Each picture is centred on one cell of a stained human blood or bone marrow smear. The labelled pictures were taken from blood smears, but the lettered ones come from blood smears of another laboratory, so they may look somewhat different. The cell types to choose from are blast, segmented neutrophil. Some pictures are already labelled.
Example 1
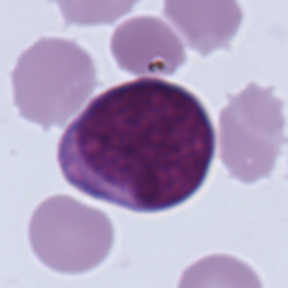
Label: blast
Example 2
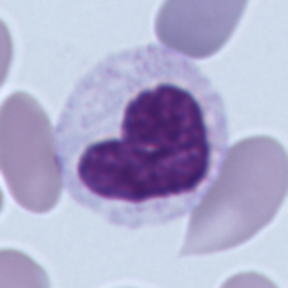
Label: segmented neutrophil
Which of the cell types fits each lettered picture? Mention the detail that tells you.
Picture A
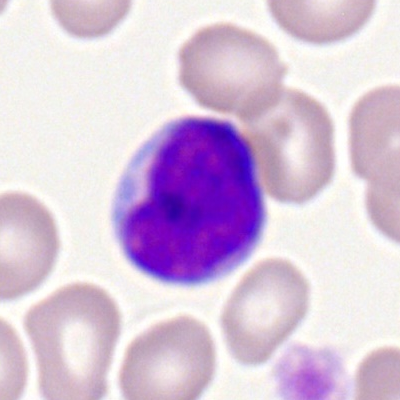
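Answer: blast. The cytoplasm forms only a thin rim.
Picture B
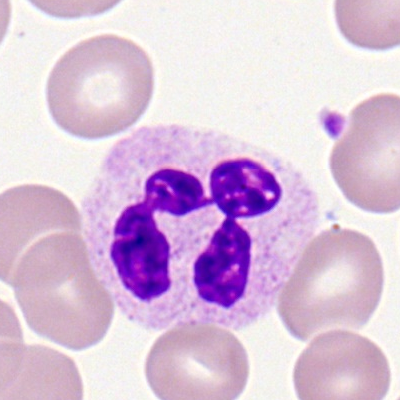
Answer: segmented neutrophil. The nucleus is divided into four separate lobes.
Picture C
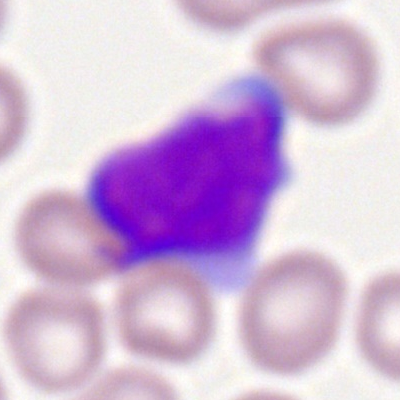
Answer: blast. Only a scant rim of pale blue cytoplasm shows, mainly at the upper right tip and along the lower edge.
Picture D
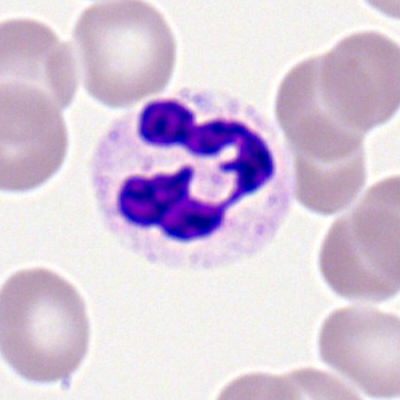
Answer: segmented neutrophil. The cytoplasm is plentiful and pale pink.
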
